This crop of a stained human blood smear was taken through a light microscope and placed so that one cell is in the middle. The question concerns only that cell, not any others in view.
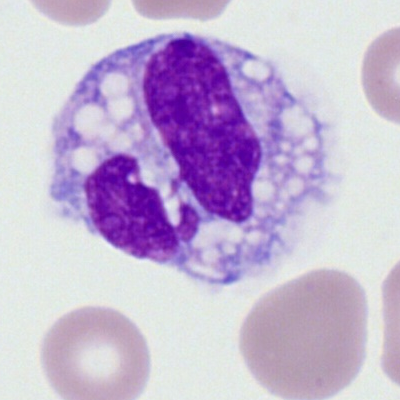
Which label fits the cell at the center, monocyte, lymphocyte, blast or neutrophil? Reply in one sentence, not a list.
The centrally positioned cell in the crop represents a monocyte.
